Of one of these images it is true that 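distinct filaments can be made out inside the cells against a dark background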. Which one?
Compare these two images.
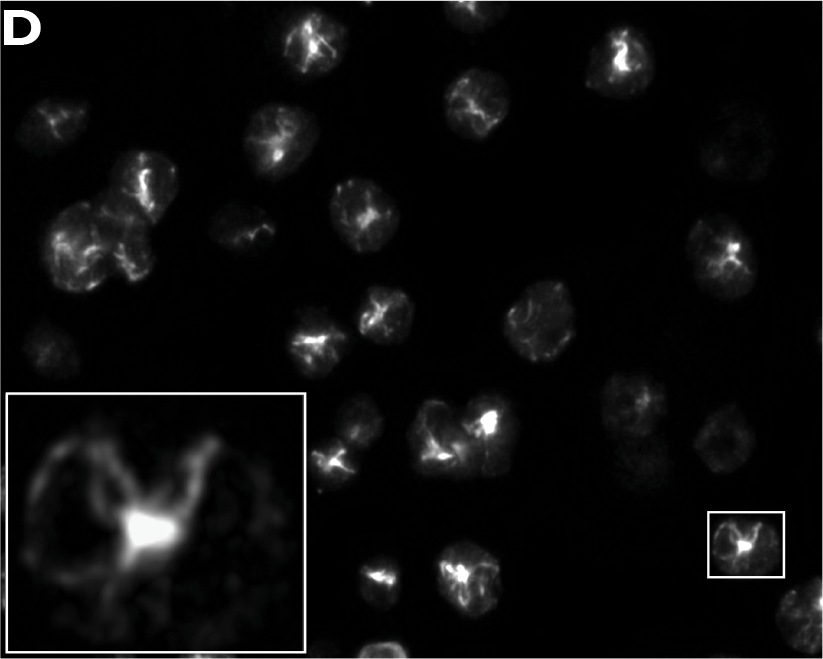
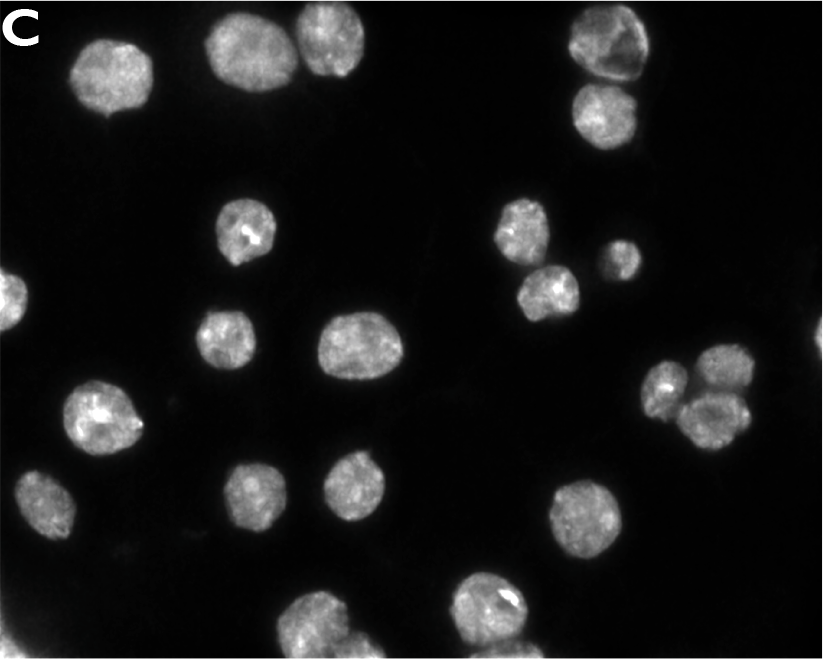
the first image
